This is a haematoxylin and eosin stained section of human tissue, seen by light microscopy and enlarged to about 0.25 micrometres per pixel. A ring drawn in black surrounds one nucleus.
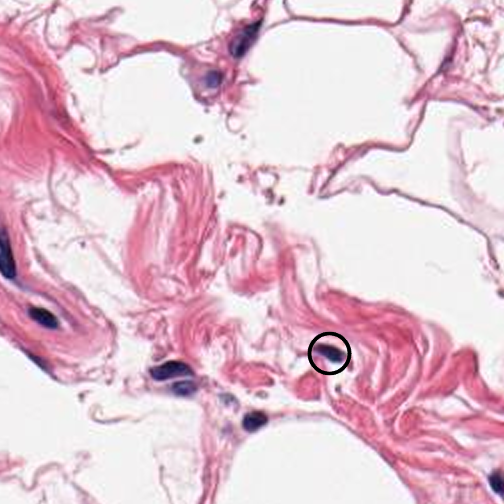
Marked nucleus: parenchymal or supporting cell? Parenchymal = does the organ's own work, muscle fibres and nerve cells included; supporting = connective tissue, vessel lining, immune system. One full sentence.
That the marked nucleus belongs to a supporting cell is what the section shows.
